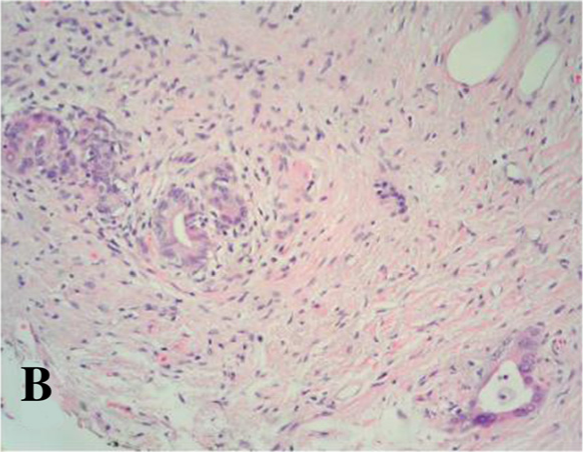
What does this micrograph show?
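A few small atypical ducts are scattered in a pale pink, fibrous stroma rich in spindle-shaped cells, giving a desmoplastic-like appearance. A few thin-walled open spaces lie at the upper right.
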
